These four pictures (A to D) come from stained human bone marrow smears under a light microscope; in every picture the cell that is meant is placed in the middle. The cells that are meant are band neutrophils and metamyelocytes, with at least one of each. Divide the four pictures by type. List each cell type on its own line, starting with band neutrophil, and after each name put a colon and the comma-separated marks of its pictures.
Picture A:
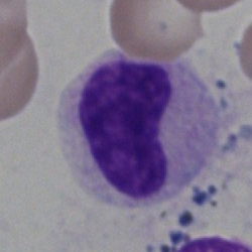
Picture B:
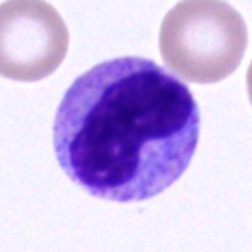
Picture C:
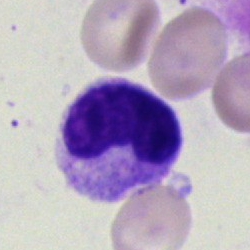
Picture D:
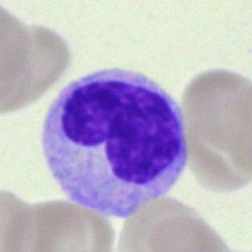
band neutrophil: C
metamyelocyte: A, B, D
